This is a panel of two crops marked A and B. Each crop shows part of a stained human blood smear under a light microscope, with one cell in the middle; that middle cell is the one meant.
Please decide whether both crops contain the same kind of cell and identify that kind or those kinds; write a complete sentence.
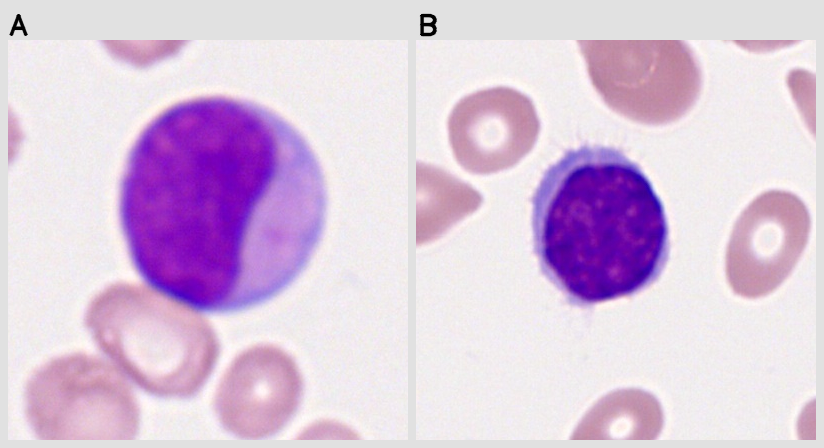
No, crop A should be called a blast, and crop B should be called a lymphocyte.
